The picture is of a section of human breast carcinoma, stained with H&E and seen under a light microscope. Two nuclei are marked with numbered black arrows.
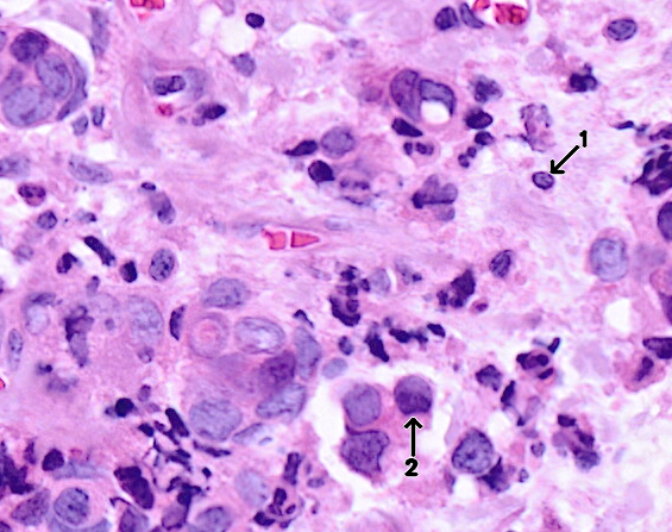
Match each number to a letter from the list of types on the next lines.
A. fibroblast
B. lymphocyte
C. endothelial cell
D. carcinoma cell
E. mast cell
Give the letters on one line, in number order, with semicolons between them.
B; D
